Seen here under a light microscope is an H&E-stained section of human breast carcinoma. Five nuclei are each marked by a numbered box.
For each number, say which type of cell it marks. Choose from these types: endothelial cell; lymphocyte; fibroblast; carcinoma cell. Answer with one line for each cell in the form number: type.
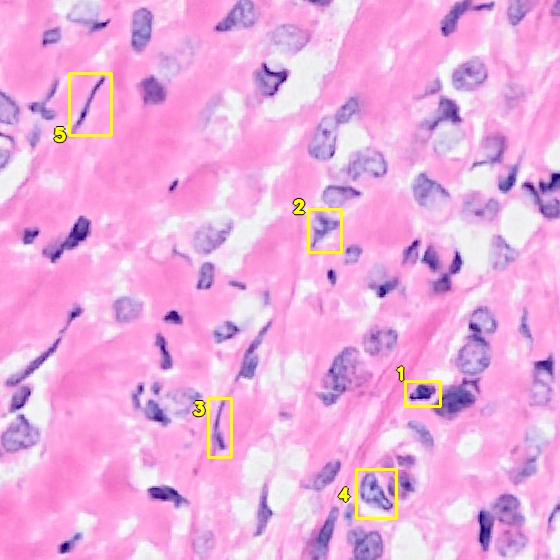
1: lymphocyte
2: fibroblast
3: fibroblast
4: endothelial cell
5: fibroblast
